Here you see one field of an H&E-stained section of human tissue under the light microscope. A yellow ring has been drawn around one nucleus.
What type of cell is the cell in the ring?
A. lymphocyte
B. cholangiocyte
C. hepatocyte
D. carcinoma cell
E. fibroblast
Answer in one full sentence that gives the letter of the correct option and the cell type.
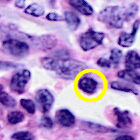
Here the correct option is A, since the cell in the ring is a lymphocyte.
